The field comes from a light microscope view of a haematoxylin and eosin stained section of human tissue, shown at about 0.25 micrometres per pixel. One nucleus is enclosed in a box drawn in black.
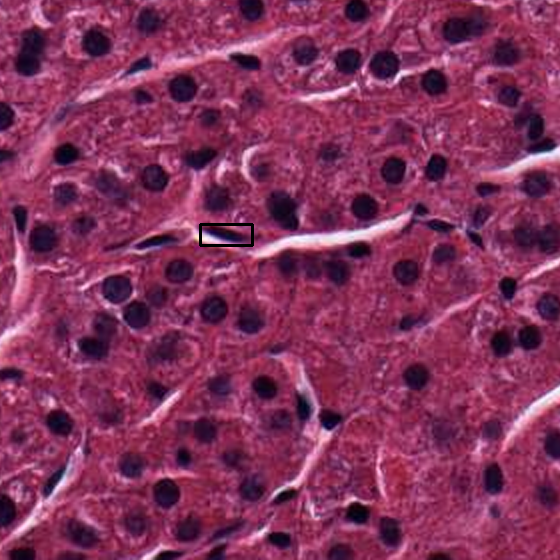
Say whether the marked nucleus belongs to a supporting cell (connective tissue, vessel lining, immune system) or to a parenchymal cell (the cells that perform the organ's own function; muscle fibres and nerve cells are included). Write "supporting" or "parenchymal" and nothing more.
supporting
